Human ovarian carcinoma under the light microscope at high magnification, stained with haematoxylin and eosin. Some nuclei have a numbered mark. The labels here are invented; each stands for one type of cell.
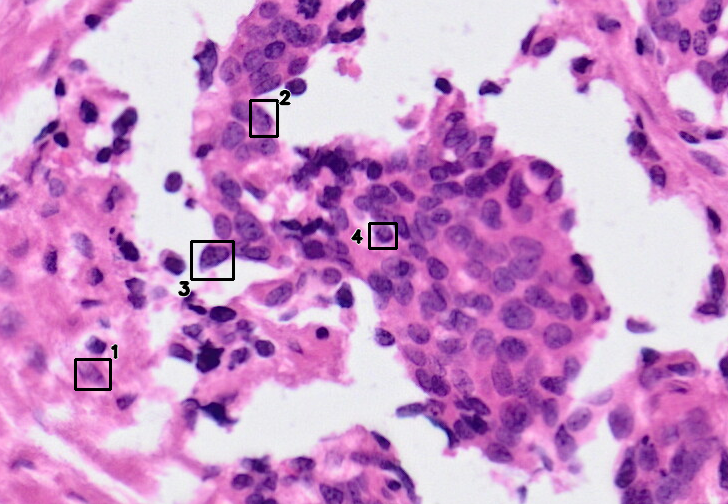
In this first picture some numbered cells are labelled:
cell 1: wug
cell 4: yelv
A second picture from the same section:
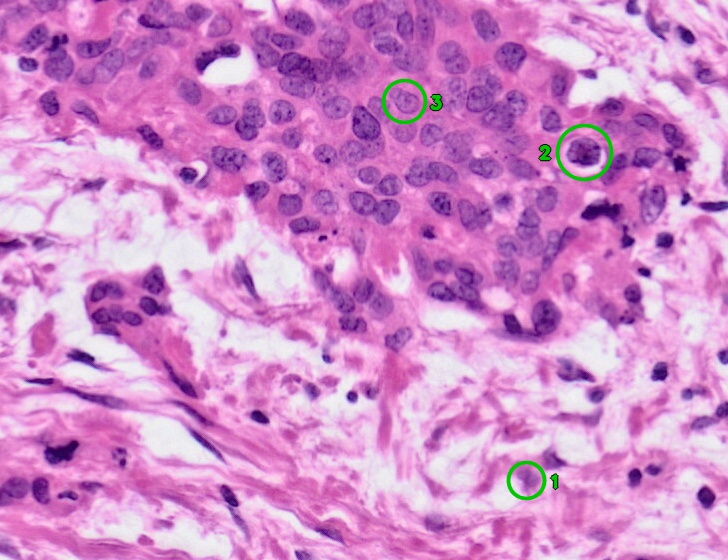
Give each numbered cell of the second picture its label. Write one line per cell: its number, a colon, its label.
1: wug
2: yelv
3: yelv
